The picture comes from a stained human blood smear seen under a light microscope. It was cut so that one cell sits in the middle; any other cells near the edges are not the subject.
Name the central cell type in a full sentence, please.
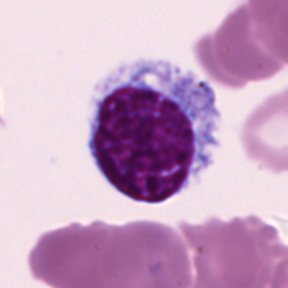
The centered cell in this crop is a hairy cell.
